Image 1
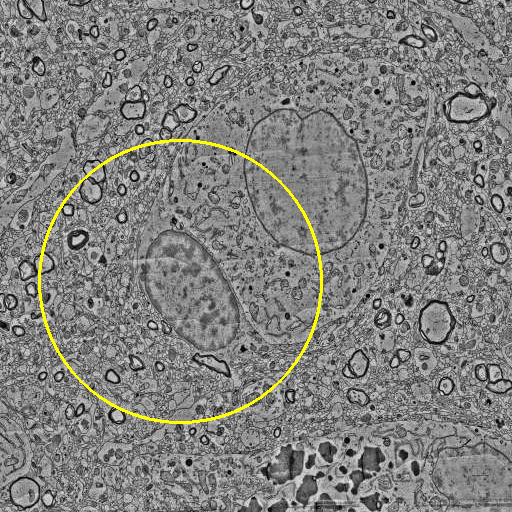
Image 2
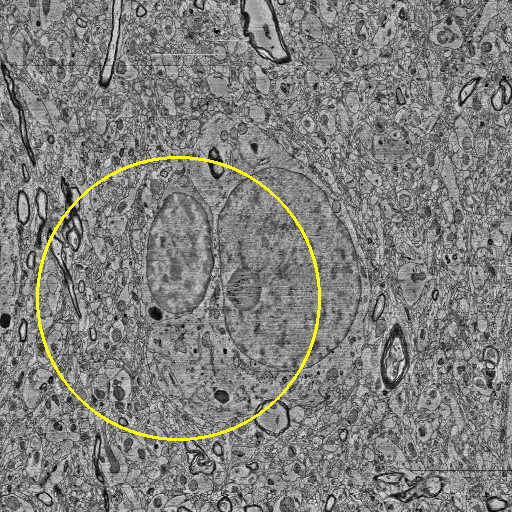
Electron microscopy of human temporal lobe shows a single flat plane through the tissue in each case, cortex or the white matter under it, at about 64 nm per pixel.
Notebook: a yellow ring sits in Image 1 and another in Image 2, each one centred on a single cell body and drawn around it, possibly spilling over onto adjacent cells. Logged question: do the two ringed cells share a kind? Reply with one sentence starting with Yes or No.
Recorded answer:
Yes, both centre cells inside the rings of Image 1 and Image 2 share one kind.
